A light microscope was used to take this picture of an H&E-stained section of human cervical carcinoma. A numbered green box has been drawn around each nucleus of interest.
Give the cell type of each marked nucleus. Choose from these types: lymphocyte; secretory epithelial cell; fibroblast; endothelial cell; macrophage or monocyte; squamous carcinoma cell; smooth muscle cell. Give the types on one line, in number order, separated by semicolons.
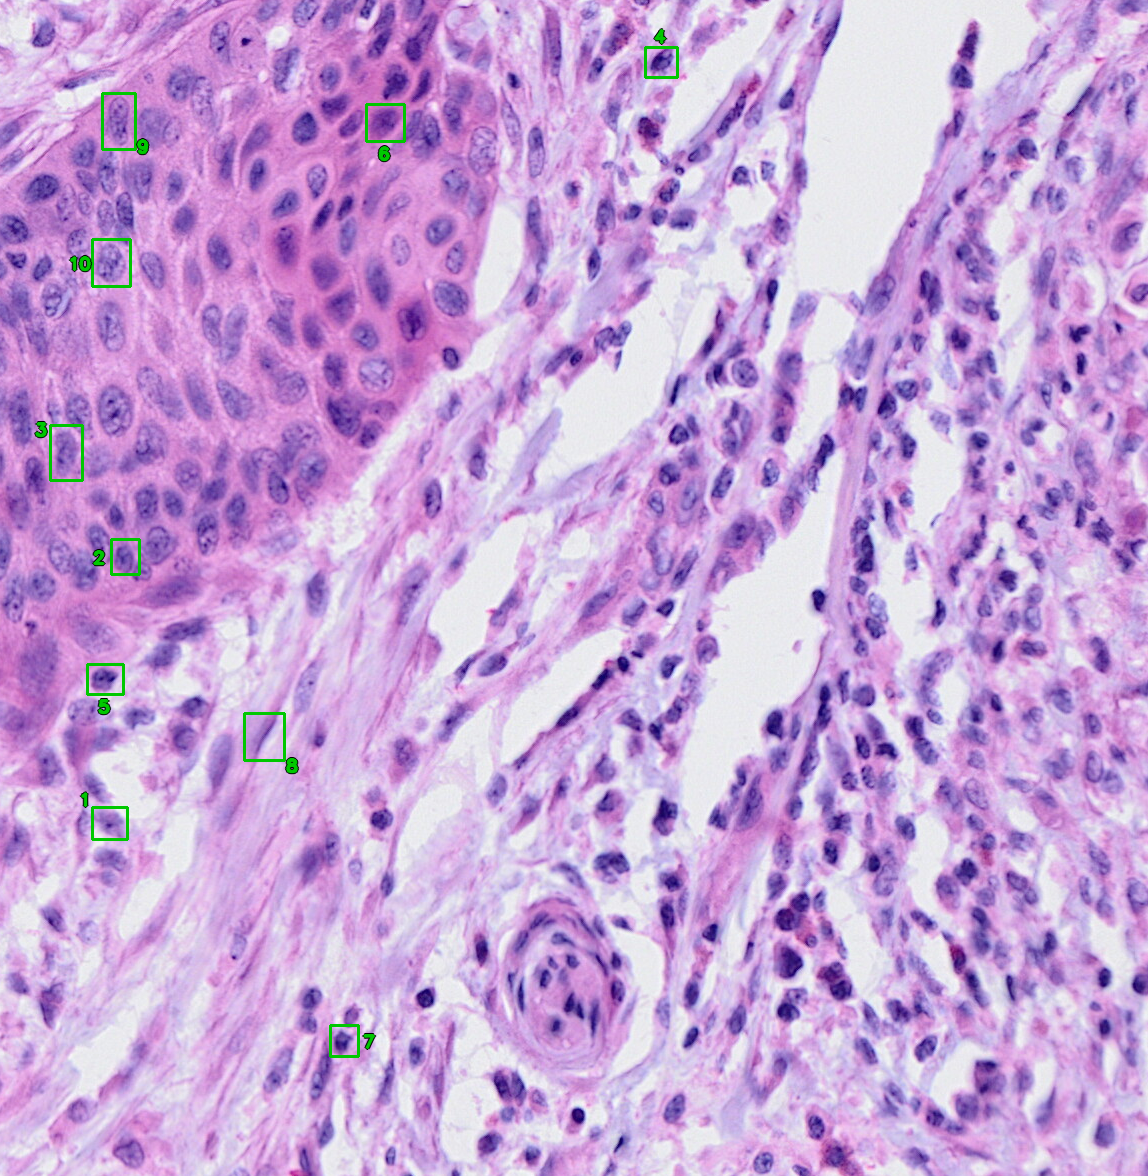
fibroblast; squamous carcinoma cell; squamous carcinoma cell; lymphocyte; lymphocyte; squamous carcinoma cell; lymphocyte; fibroblast; squamous carcinoma cell; squamous carcinoma cell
